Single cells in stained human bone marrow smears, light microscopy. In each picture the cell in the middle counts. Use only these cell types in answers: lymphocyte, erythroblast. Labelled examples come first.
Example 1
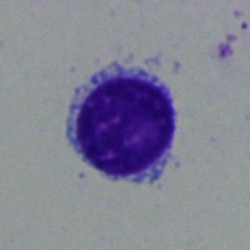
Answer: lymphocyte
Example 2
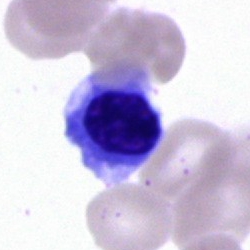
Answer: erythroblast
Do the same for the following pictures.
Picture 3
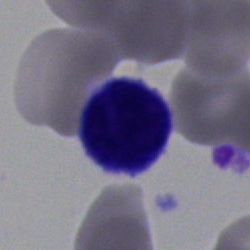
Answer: lymphocyte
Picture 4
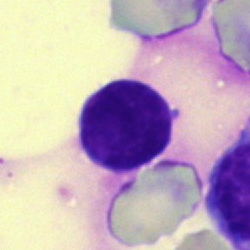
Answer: lymphocyte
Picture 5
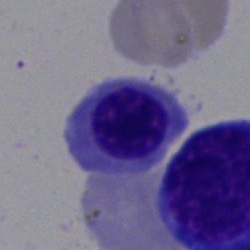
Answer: erythroblast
